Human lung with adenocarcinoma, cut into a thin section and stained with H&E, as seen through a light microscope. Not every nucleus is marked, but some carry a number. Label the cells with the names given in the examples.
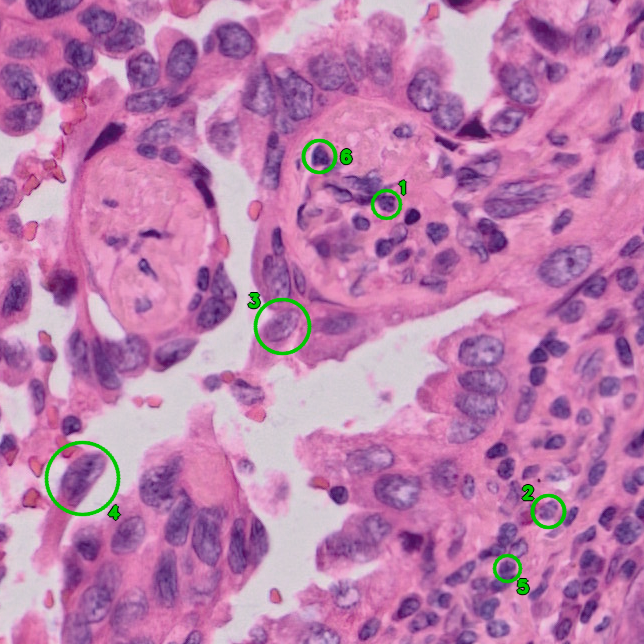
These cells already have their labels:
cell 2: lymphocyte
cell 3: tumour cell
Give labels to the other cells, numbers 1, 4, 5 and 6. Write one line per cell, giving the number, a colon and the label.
1: lymphocyte
4: tumour cell
5: lymphocyte
6: lymphocyte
